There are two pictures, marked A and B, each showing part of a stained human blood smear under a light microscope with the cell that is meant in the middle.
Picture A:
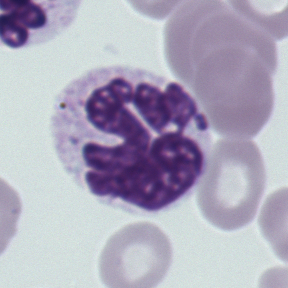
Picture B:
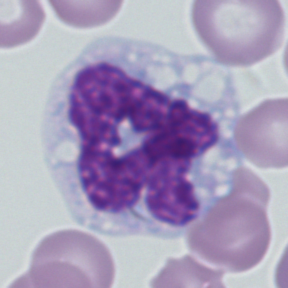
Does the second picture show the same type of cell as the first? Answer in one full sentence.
No, they differ: the cell is a segmented neutrophil in picture A and a monocyte in picture B.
